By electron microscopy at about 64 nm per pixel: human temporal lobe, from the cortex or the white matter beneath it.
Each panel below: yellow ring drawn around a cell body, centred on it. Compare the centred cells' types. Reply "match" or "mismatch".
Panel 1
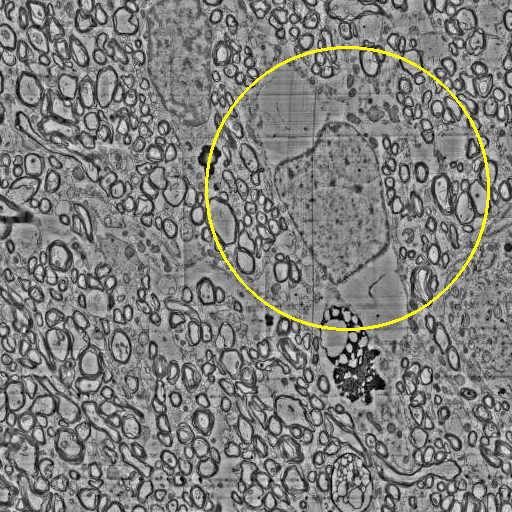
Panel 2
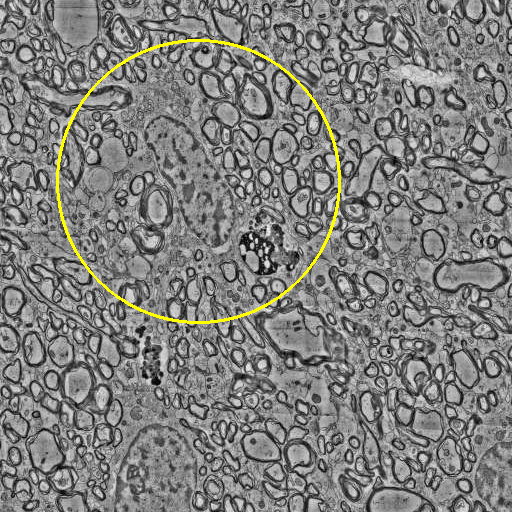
match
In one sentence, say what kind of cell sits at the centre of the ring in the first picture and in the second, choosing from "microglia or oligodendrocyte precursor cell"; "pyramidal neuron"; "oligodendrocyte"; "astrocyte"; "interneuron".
Each of the two rings surrounds an astrocyte.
